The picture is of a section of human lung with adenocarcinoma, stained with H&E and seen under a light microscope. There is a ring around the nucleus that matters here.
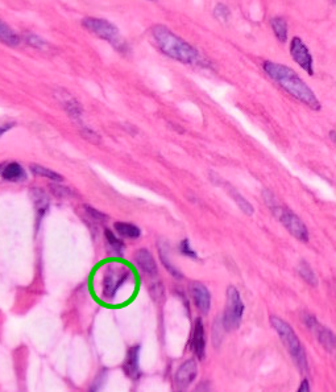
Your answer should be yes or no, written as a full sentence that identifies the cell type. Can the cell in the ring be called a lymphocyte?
No, the cell in the ring qualifies as a ciliated epithelial cell and does not qualify as a lymphocyte.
